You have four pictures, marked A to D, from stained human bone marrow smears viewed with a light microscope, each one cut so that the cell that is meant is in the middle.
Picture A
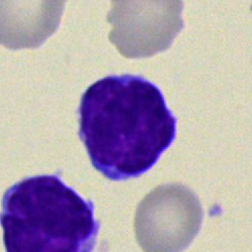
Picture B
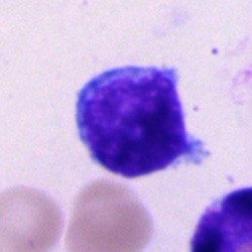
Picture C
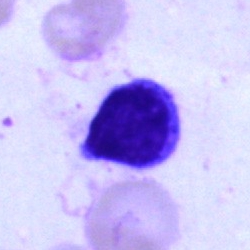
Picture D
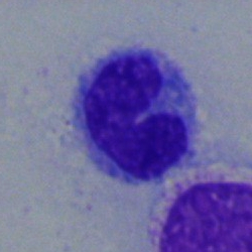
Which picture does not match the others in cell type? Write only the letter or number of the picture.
D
